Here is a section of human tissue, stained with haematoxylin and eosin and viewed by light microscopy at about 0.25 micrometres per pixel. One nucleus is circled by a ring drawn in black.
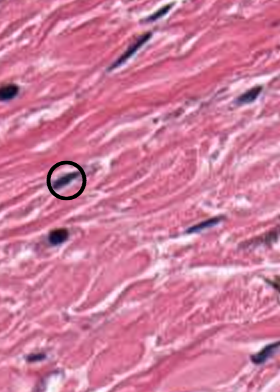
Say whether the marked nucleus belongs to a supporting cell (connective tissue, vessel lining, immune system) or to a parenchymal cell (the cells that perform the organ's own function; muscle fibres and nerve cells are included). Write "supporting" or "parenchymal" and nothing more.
supporting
